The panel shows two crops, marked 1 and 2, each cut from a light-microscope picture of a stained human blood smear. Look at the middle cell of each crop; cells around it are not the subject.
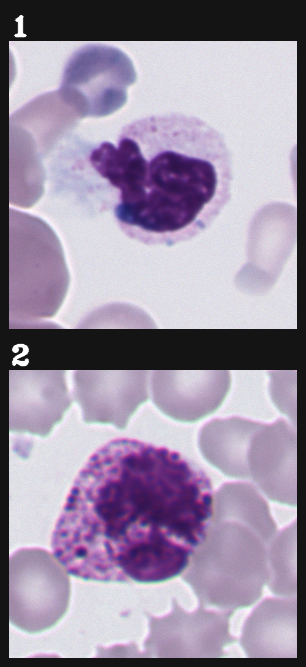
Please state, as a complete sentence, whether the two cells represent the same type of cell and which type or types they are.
No, the cell of interest in crop 1 is a segmented neutrophil, and in crop 2 it is a basophil.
